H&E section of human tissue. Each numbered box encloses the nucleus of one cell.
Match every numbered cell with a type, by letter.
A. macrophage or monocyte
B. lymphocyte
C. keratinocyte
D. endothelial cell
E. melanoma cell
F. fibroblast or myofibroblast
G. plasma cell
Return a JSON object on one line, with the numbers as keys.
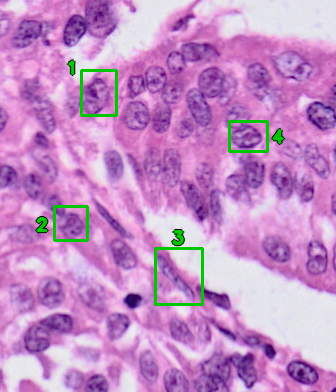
{"1": "E", "2": "E", "3": "A", "4": "E"}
